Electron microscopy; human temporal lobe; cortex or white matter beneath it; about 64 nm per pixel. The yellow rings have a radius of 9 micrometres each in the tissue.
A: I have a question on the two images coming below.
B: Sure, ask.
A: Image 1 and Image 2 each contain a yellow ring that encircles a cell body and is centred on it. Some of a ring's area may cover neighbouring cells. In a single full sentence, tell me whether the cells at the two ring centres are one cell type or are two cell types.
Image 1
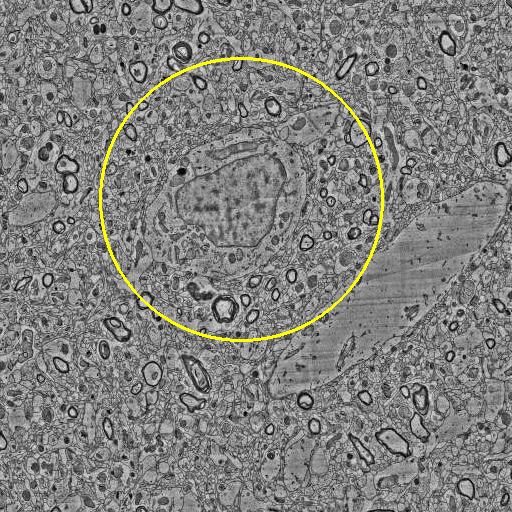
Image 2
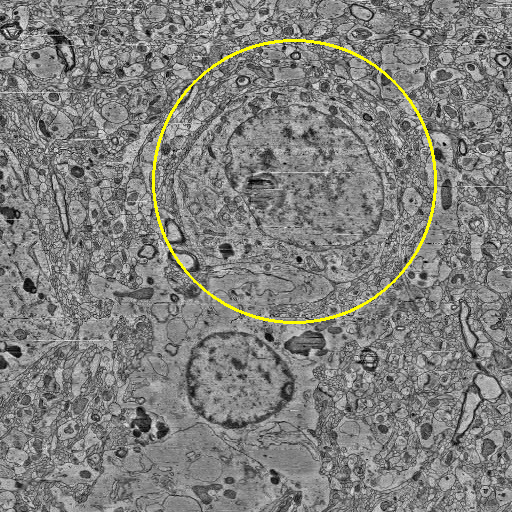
As for the ring-centre cells, the one in Image 1 and the one in Image 2 are one cell type.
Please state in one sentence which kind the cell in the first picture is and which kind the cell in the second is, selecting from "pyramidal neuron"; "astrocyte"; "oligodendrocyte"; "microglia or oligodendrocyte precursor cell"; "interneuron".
Each of the ringed cells, first and second, is an interneuron.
